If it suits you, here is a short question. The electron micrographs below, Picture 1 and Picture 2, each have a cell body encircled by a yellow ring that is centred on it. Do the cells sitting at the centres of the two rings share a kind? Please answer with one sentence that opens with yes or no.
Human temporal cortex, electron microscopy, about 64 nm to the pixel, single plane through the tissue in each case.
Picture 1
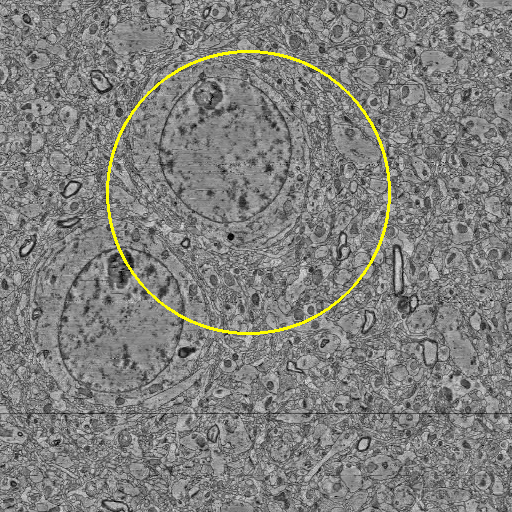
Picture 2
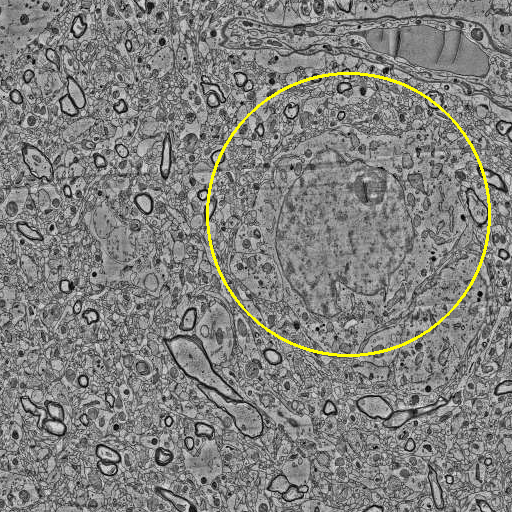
No, the two cells sitting at the ring centres fall into two kinds.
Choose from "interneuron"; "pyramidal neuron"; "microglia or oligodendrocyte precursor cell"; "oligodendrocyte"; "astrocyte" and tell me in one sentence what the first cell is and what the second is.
What the first ring is centred on is a pyramidal neuron; what the second ring is centred on is an interneuron.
